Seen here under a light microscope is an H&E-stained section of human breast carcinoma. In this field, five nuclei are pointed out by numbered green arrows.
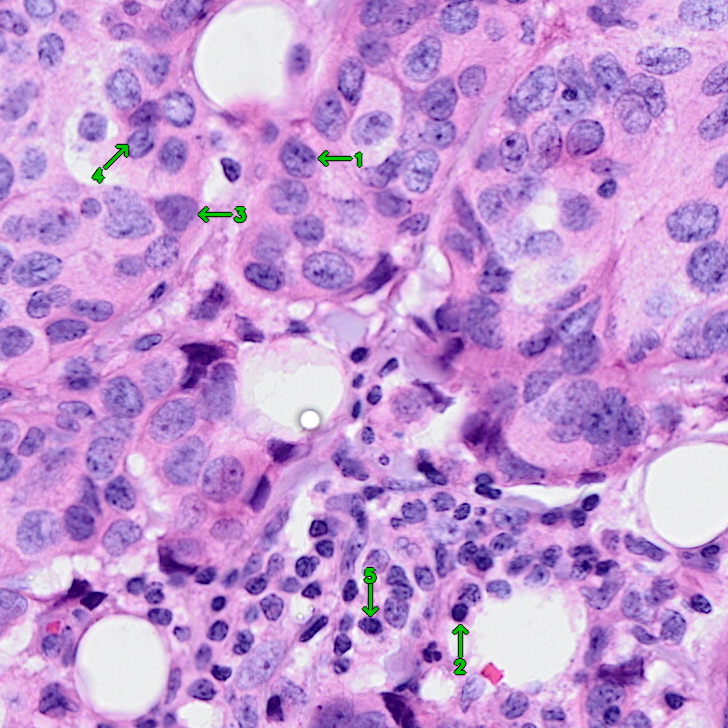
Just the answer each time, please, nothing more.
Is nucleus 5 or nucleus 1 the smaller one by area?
5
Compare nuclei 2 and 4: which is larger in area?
4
